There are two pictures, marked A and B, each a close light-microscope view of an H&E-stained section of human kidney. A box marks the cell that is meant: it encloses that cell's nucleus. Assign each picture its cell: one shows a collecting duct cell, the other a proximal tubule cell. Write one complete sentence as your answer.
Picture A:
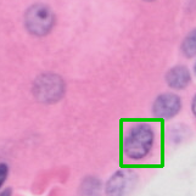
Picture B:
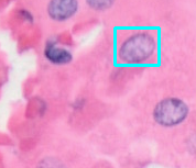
In picture A the cell is a collecting duct cell; in picture B, a proximal tubule cell.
